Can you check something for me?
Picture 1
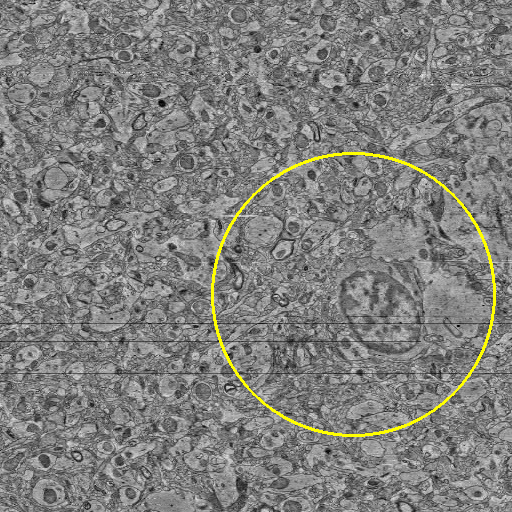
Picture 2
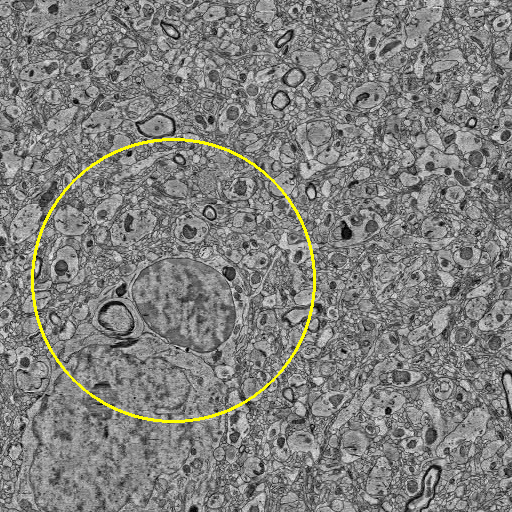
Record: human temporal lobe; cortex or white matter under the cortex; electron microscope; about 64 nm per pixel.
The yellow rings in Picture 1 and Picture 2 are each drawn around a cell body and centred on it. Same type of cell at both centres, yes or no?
no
